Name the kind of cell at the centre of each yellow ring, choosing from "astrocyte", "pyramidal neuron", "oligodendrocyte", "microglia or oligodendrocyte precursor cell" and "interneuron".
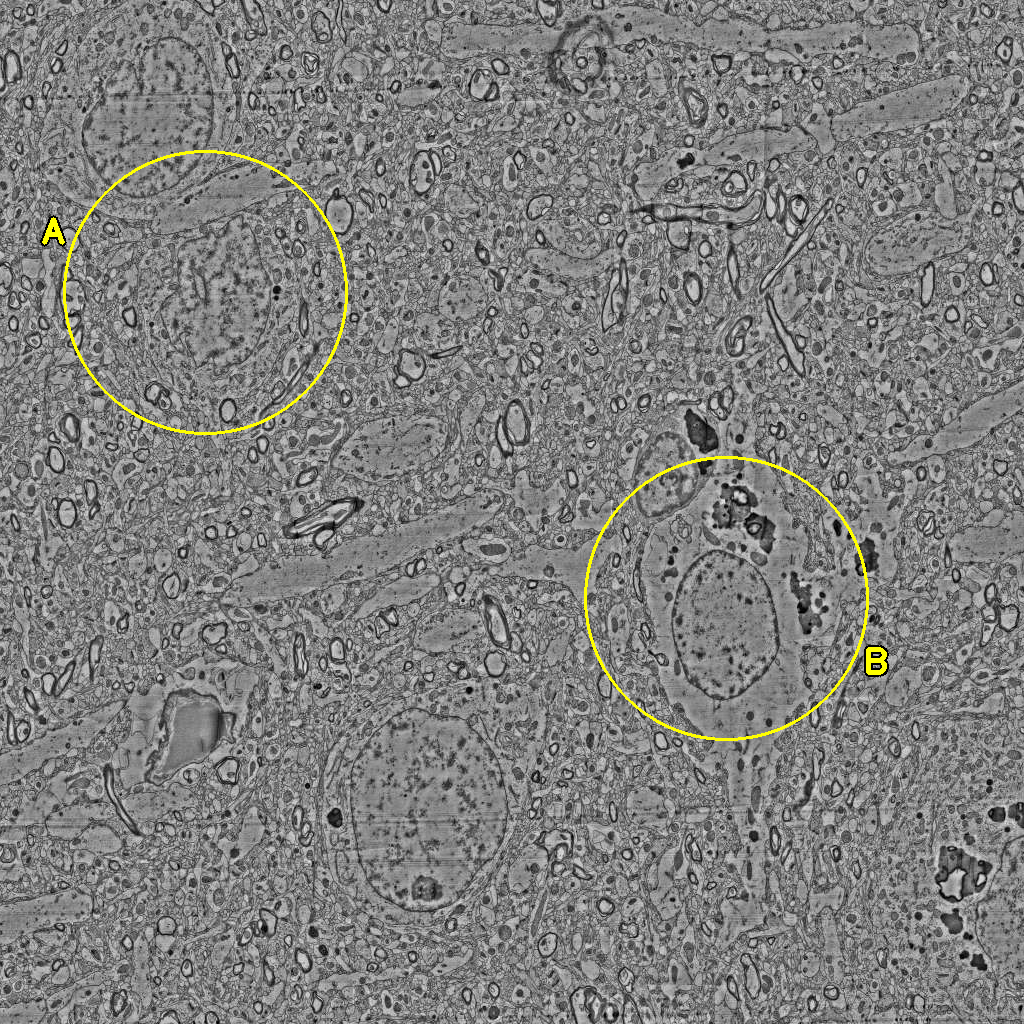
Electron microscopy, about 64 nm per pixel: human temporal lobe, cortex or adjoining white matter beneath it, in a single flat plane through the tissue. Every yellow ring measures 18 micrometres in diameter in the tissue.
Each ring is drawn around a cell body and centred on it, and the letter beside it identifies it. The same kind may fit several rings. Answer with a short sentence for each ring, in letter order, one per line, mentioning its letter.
Ring A is drawn around an interneuron.
Ring B is drawn around an astrocyte.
